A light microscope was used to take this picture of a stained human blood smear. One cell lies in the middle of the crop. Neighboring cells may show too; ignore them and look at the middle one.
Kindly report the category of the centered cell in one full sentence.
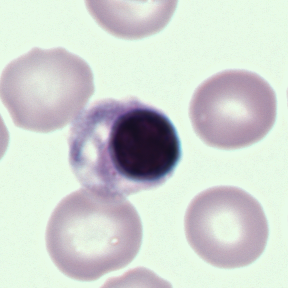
Regarding the central cell, it is an erythroblast.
